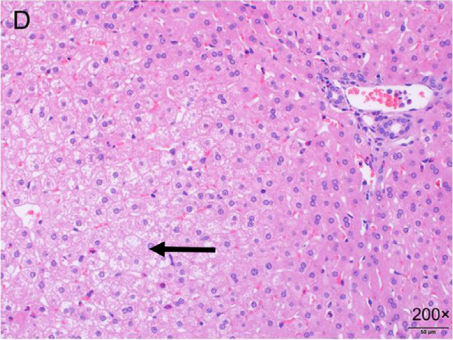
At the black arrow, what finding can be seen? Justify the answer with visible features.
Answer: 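The cells near the arrow are enlarged with pale, clear cytoplasm. The pale swollen cells contrast with pinker cells at the edges of the field. On this evidence: edema.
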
